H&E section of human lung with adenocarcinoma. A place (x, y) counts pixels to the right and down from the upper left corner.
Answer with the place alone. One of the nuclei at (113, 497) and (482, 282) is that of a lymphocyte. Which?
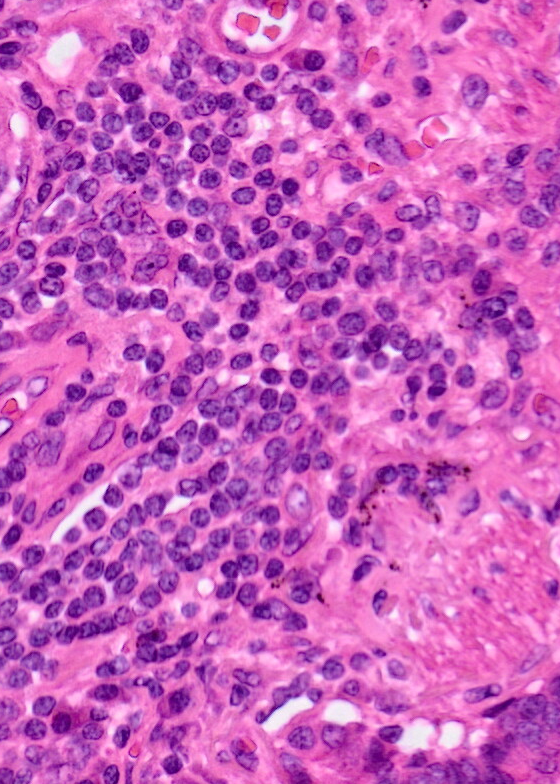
(113, 497)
